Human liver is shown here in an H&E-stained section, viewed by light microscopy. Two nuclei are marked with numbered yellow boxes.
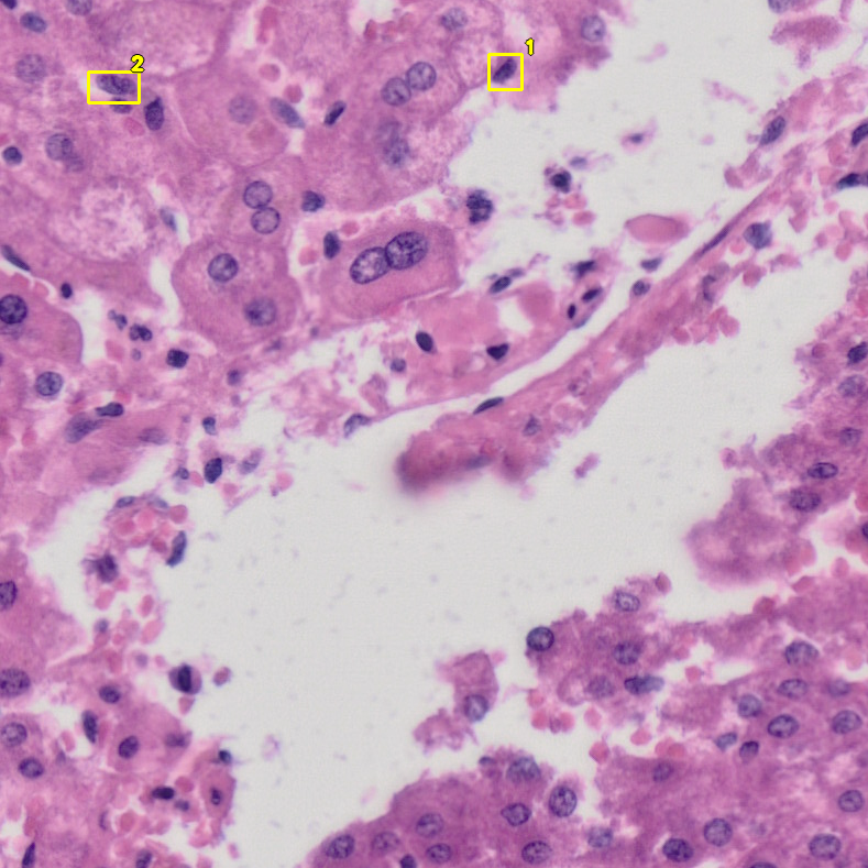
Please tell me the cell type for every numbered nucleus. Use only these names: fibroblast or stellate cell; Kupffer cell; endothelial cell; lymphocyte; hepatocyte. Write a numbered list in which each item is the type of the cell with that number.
1. fibroblast or stellate cell
2. Kupffer cell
